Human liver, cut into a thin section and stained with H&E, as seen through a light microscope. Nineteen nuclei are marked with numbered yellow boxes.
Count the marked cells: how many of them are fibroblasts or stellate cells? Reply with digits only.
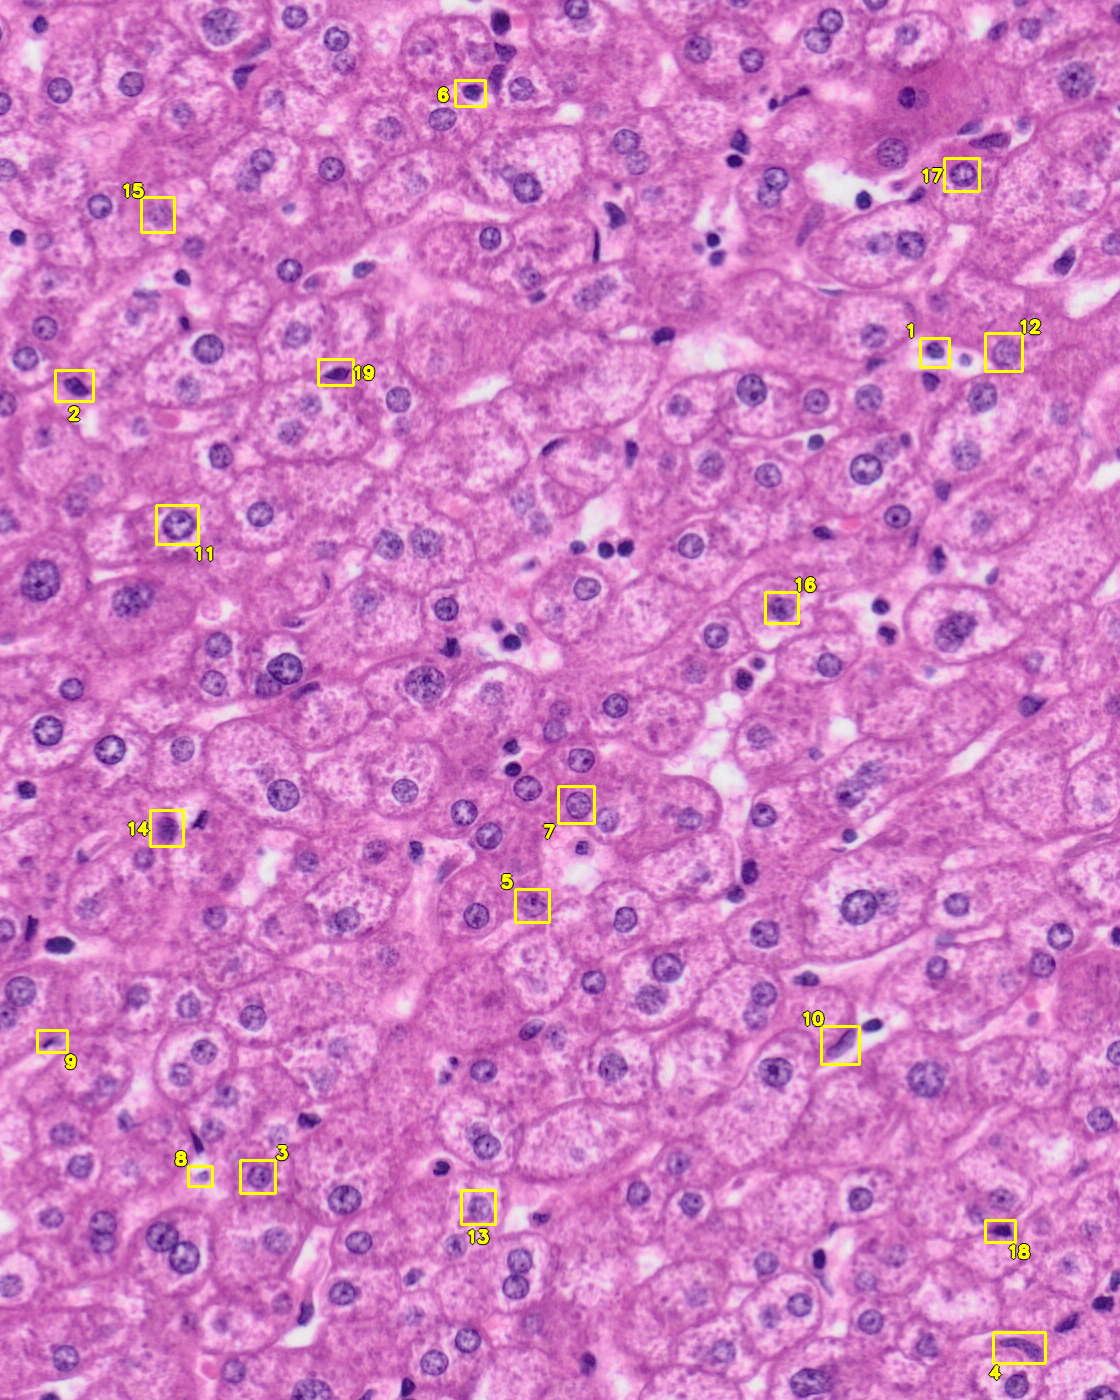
2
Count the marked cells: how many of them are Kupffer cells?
2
